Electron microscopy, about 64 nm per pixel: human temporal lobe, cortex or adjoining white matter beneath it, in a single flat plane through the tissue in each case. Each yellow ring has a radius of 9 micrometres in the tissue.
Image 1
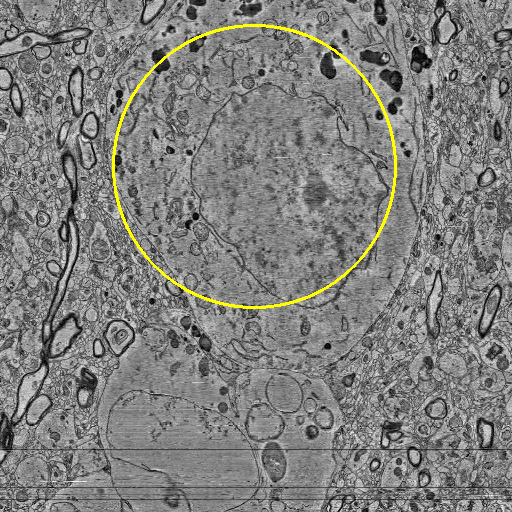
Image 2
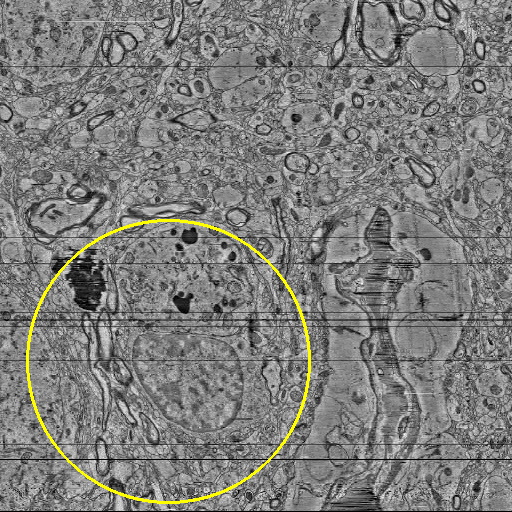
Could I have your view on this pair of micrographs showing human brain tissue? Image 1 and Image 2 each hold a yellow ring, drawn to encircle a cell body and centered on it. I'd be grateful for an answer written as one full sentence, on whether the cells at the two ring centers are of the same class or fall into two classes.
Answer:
The cells at the centers of the two rings fall into two classes.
